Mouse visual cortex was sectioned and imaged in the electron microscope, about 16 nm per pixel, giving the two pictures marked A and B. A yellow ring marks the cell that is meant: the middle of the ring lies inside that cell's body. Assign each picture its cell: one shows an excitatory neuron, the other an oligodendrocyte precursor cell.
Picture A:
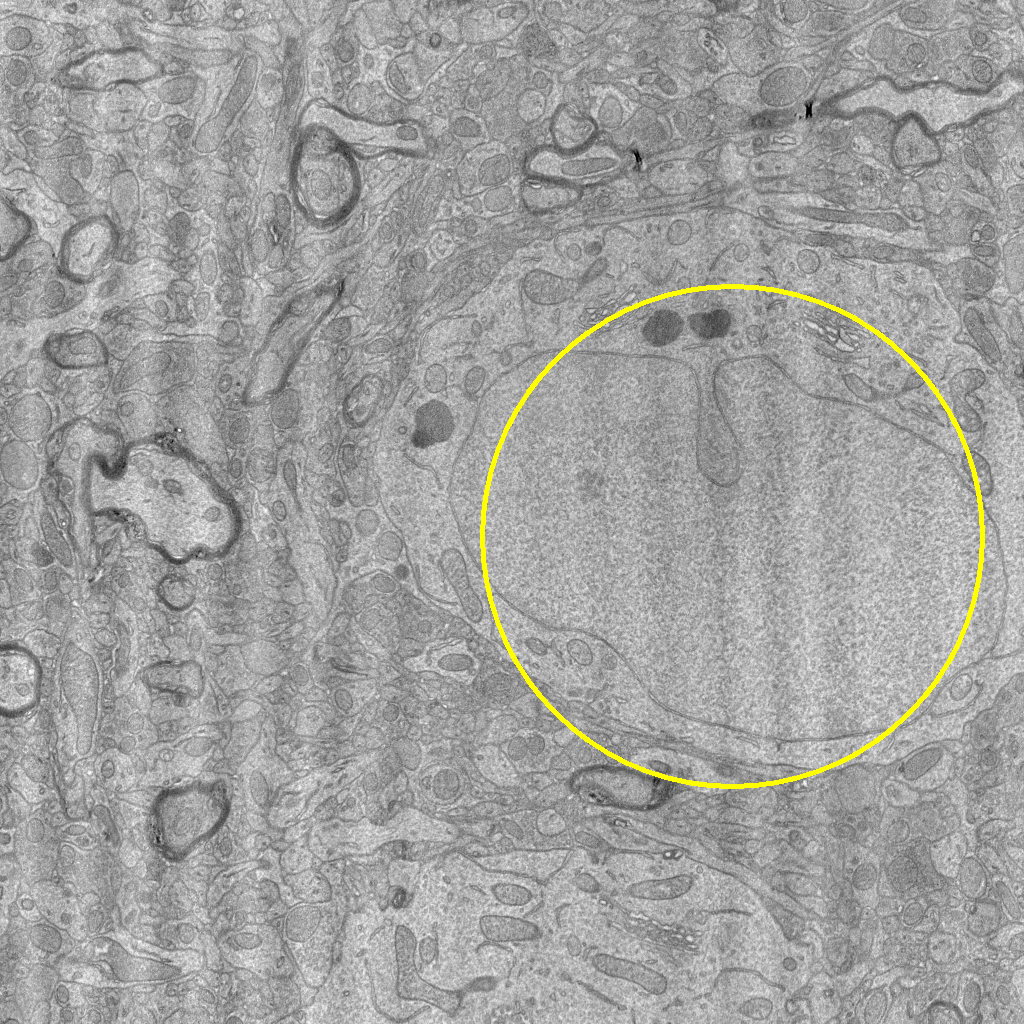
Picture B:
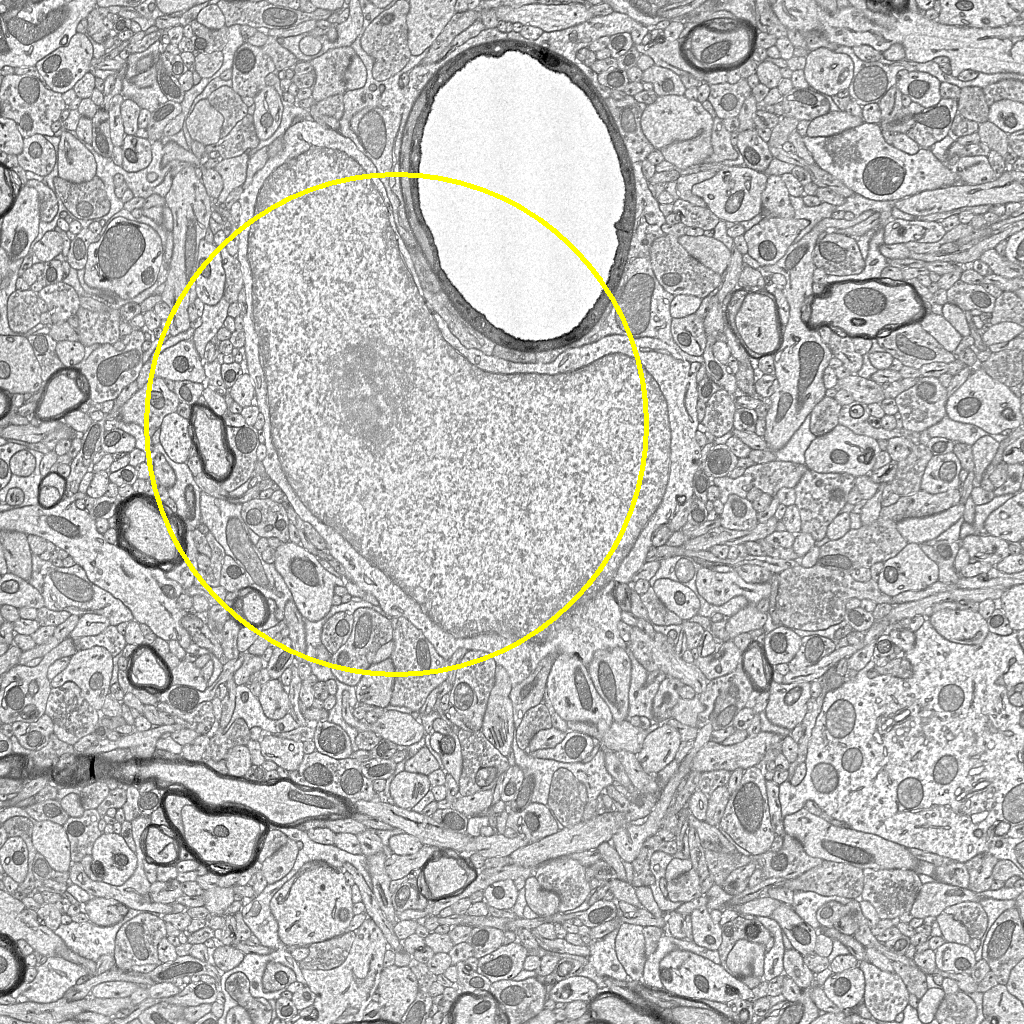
In picture A the cell is an excitatory neuron; in picture B, an oligodendrocyte precursor cell.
